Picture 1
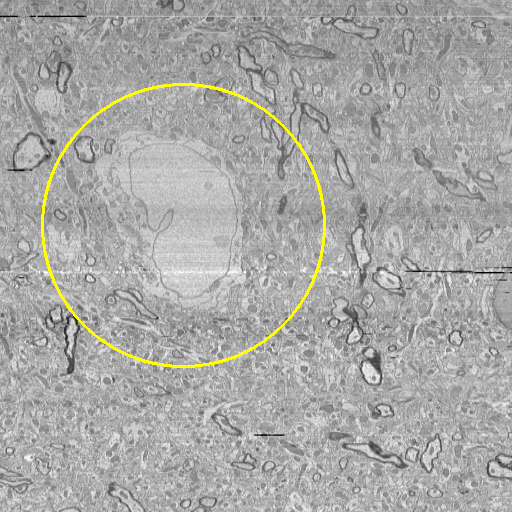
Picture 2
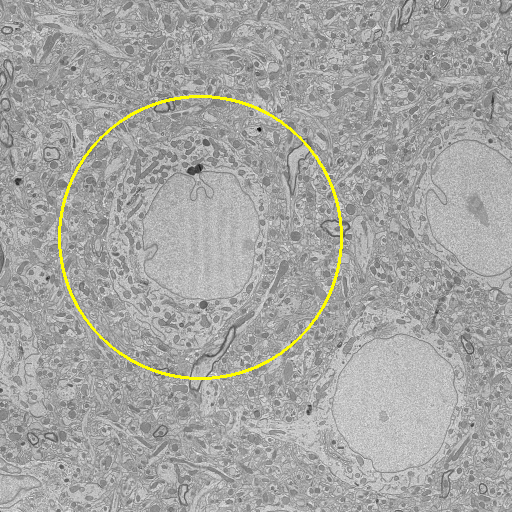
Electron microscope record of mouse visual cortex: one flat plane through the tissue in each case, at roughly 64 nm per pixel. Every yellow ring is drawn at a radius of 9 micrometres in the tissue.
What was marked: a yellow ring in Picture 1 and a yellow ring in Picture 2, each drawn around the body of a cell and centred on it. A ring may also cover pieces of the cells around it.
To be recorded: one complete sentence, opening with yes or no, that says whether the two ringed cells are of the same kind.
No, the two ringed cells are of two kinds.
